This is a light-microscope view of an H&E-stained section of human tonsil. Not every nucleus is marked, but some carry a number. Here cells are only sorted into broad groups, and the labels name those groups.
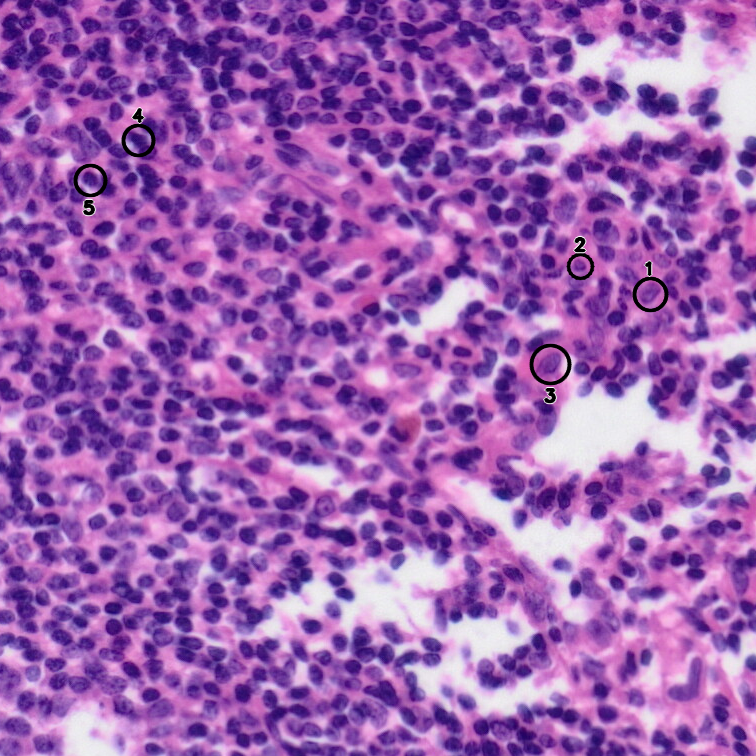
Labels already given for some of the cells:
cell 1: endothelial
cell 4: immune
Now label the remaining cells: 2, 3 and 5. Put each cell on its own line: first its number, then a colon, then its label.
2: endothelial
3: endothelial
5: immune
